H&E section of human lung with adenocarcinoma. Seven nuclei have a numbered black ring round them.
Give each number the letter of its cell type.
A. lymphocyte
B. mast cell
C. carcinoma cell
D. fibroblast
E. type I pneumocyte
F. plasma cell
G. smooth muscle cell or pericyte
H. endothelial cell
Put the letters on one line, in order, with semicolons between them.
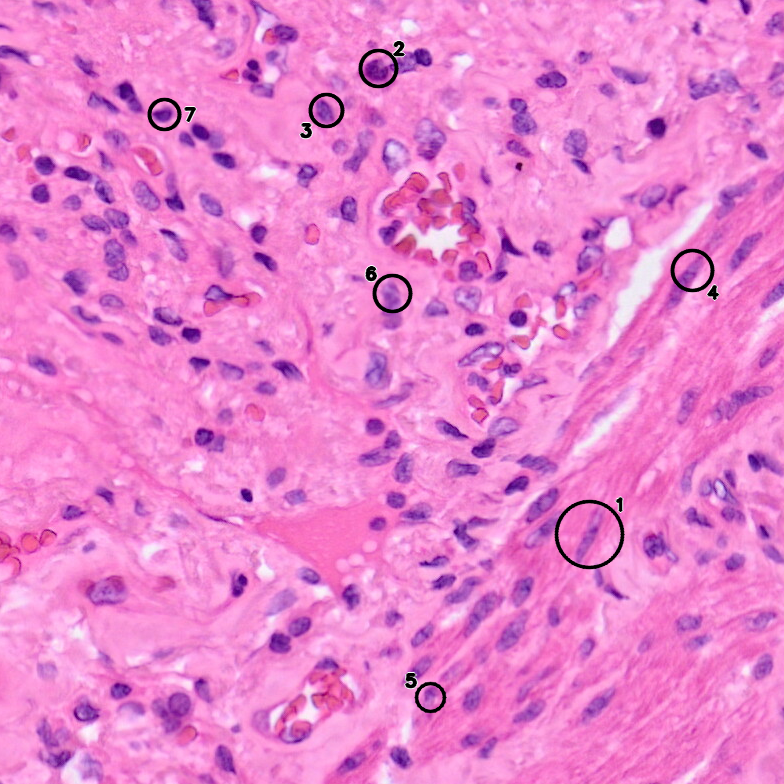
G; F; B; G; G; D; A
